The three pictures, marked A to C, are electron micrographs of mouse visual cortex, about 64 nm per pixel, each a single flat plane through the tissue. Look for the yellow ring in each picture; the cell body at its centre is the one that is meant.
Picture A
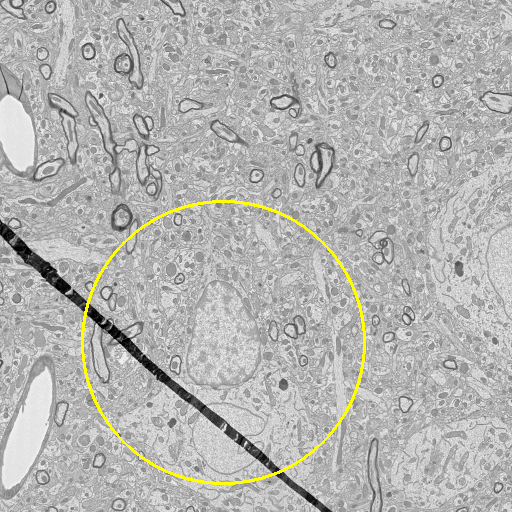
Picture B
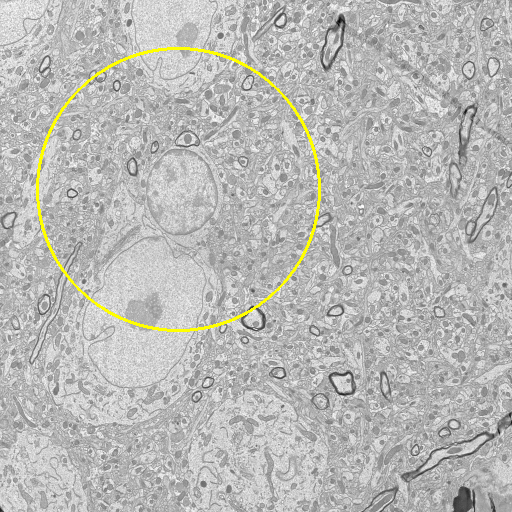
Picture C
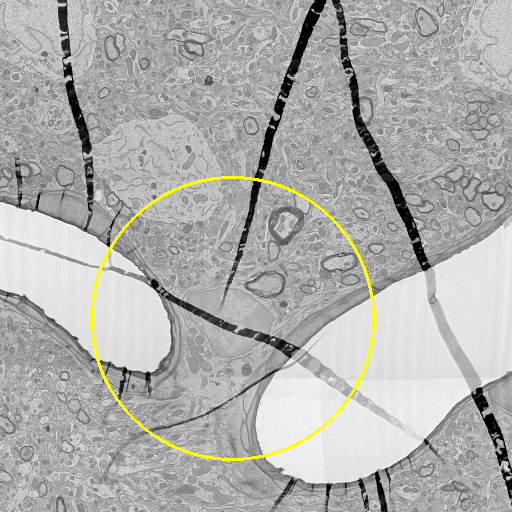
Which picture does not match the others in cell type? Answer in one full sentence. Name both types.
The others show oligodendrocytes, but picture C shows a microglial cell.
